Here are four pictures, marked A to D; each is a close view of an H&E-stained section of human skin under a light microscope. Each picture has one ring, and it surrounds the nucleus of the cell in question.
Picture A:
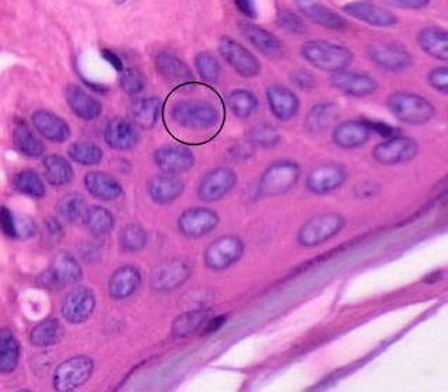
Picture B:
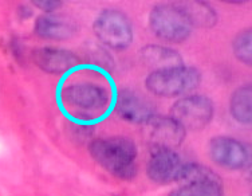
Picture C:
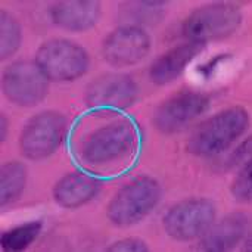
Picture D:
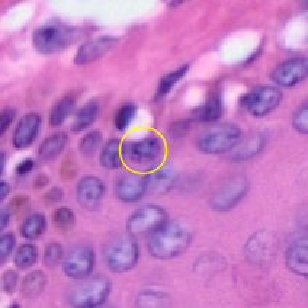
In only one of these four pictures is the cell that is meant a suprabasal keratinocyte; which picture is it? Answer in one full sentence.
The cell in picture C is the suprabasal keratinocyte.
